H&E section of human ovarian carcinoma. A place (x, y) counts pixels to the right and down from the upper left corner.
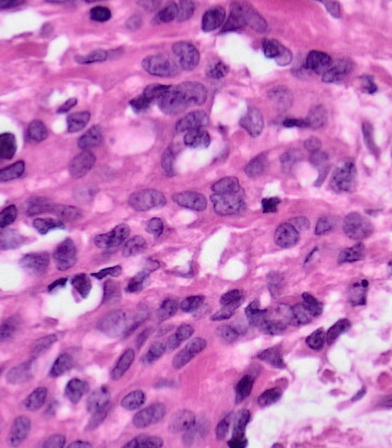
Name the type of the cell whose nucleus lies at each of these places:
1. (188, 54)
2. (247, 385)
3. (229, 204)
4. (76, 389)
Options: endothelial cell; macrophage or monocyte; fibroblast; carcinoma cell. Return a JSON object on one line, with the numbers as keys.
{"1": "carcinoma cell", "2": "carcinoma cell", "3": "carcinoma cell", "4": "macrophage or monocyte"}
